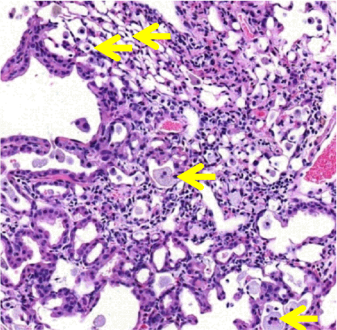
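This is lung parenchyma whose normal thin-walled alveoli are replaced by distorted, narrowed airspaces with thickened walls. Many of the small airspaces are lined by cube-shaped epithelial cells with round, dark purple nuclei, giving a gland-like pattern. The walls between the spaces are widened and crowded with nuclei. Within several airspaces lie large, free, rounded cells with abundant pale pink cytoplasm, some holding several nuclei. A blood vessel packed with red blood cells is seen at the right edge.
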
